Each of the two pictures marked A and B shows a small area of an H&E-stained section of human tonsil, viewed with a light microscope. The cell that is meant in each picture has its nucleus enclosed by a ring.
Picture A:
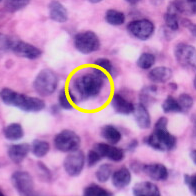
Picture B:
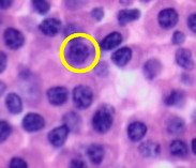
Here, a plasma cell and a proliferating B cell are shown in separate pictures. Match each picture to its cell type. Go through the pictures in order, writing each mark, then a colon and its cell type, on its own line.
A: proliferating B cell
B: plasma cell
